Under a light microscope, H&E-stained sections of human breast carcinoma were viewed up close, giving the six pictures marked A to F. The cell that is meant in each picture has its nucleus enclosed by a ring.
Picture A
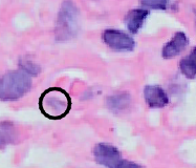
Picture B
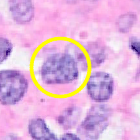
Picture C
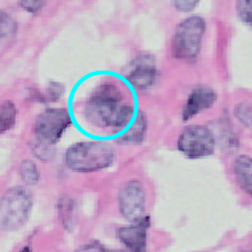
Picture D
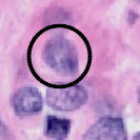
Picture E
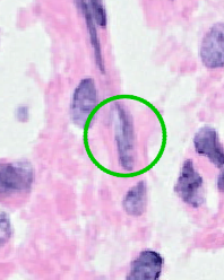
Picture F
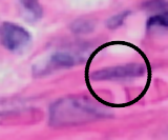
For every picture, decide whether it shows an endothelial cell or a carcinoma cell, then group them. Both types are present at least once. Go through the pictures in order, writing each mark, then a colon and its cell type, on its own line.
A: endothelial cell
B: carcinoma cell
C: carcinoma cell
D: carcinoma cell
E: endothelial cell
F: endothelial cell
